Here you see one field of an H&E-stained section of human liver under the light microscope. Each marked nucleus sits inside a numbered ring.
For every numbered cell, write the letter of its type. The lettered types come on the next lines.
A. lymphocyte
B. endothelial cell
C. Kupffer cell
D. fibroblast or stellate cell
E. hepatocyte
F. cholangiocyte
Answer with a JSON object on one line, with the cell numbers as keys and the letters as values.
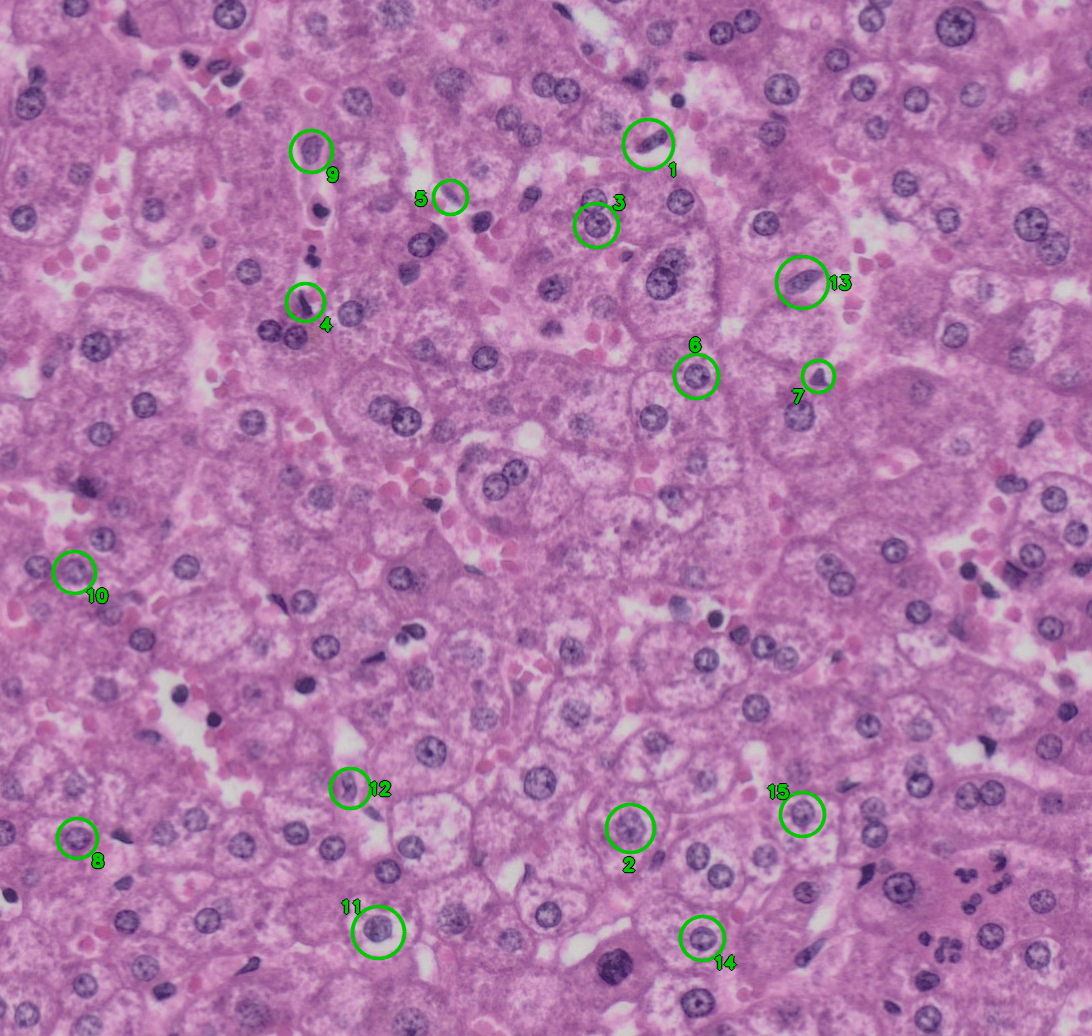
{"1": "C", "2": "E", "3": "E", "4": "B", "5": "B", "6": "E", "7": "B", "8": "E", "9": "C", "10": "E", "11": "E", "12": "C", "13": "C", "14": "E", "15": "E"}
